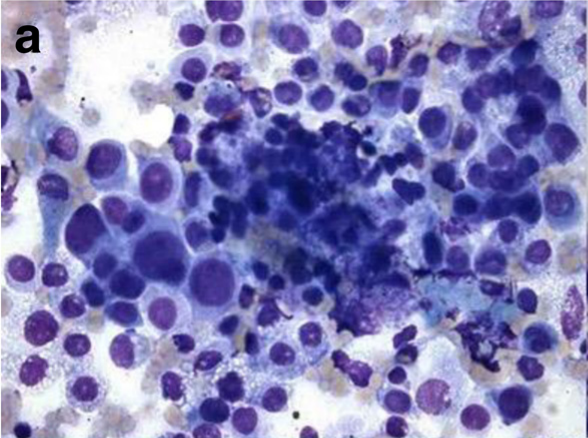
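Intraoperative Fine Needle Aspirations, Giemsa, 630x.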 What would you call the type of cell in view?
Tumor cells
